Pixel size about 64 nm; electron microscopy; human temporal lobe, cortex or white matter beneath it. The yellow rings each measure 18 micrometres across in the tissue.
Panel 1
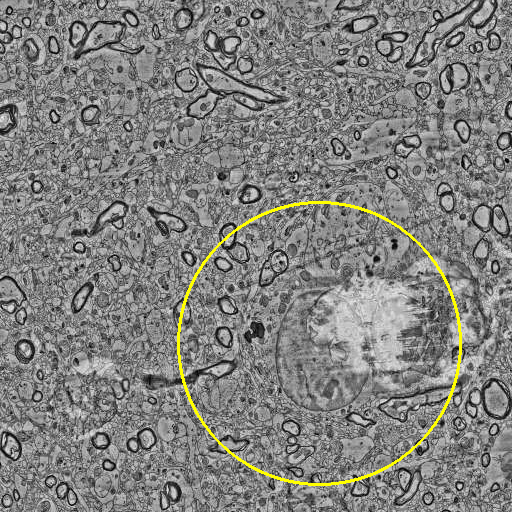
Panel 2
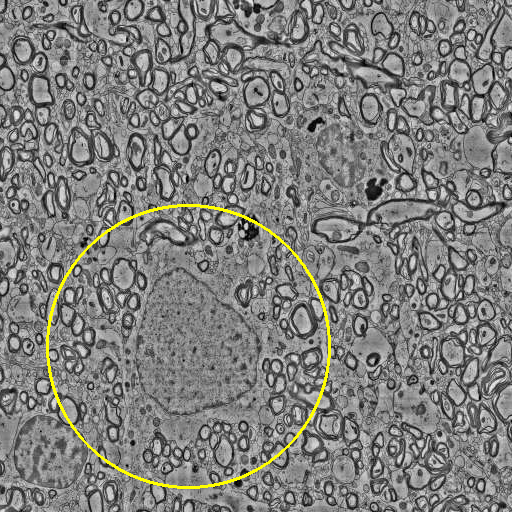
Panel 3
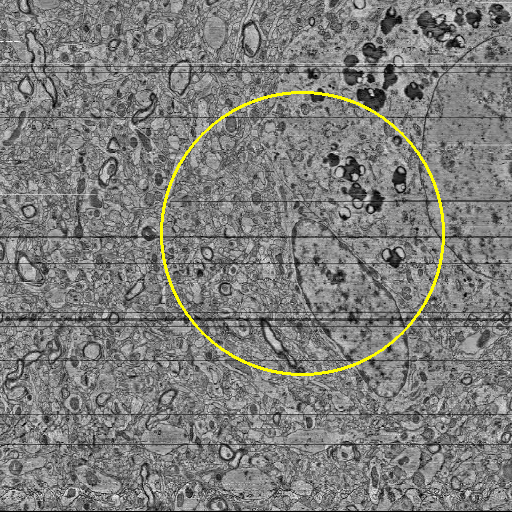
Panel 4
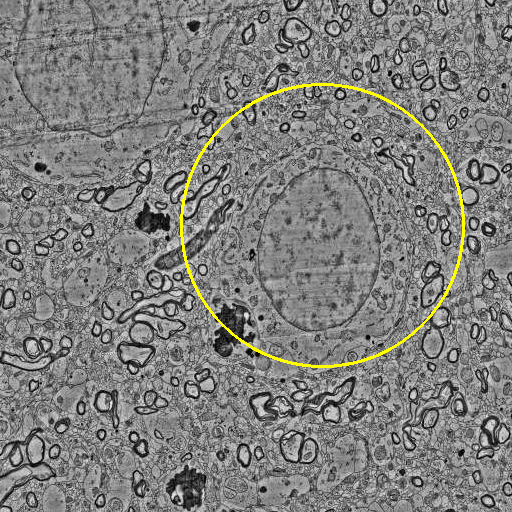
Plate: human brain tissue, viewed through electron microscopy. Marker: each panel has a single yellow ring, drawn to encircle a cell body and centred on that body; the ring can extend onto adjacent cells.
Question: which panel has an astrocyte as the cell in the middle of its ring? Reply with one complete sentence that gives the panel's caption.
Panel 2 is where the requested cell sits at the centre of the ring.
